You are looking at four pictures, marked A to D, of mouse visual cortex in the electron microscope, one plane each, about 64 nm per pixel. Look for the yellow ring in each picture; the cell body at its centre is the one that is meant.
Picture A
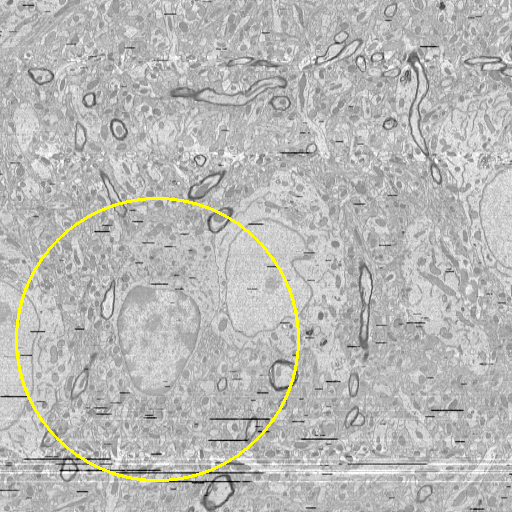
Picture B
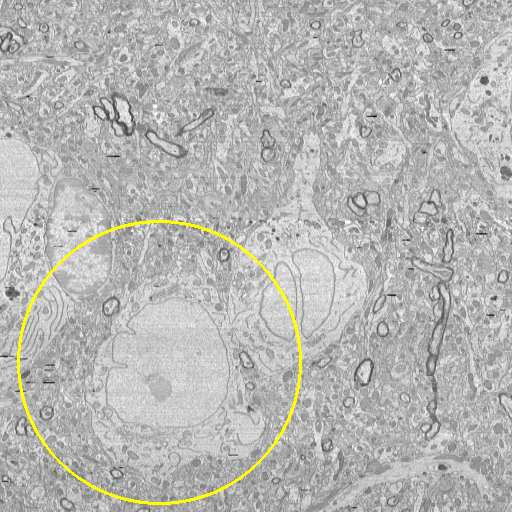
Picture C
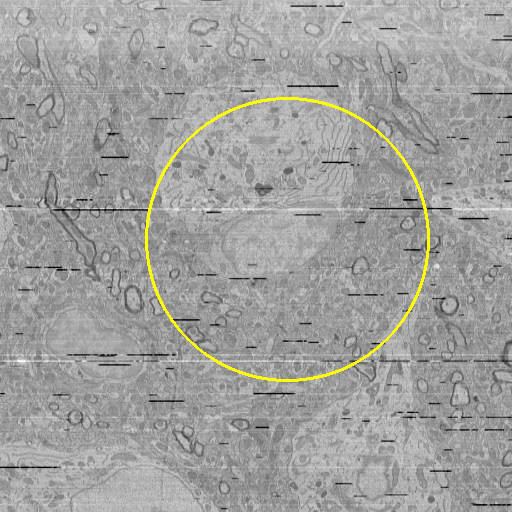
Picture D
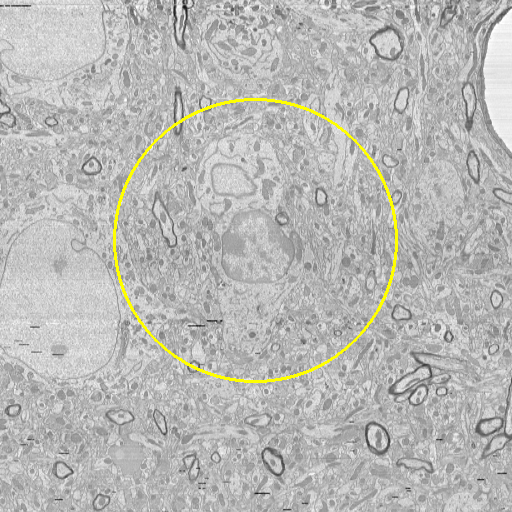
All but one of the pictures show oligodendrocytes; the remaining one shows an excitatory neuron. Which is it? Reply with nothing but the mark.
B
